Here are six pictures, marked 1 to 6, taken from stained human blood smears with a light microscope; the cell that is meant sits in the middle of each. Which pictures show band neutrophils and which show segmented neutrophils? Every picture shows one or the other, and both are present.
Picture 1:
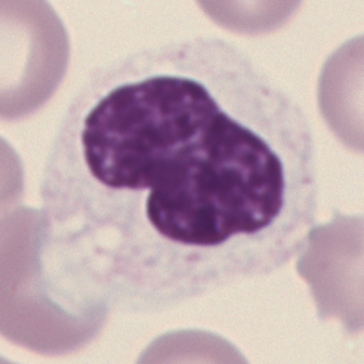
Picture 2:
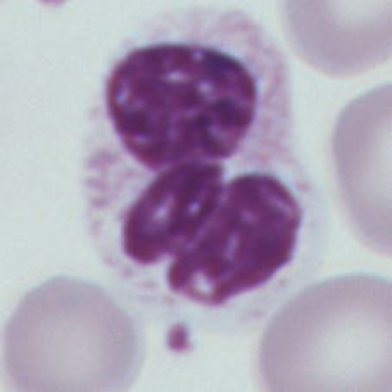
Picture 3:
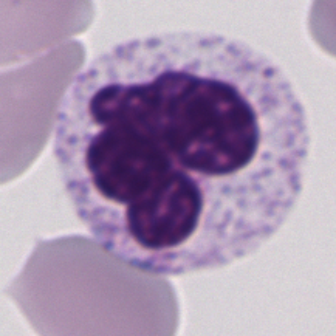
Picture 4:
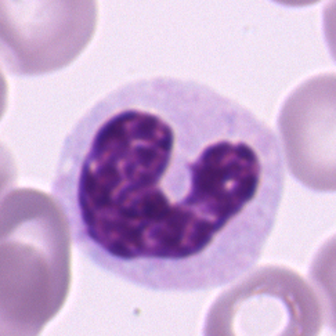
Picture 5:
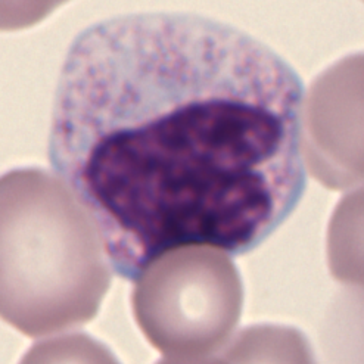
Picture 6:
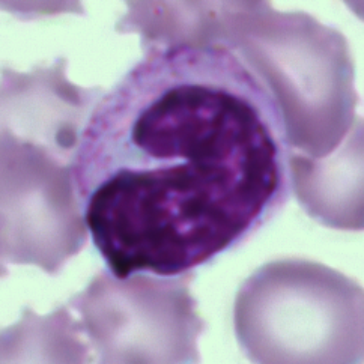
1: band neutrophil
2: segmented neutrophil
3: segmented neutrophil
4: band neutrophil
5: band neutrophil
6: band neutrophil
